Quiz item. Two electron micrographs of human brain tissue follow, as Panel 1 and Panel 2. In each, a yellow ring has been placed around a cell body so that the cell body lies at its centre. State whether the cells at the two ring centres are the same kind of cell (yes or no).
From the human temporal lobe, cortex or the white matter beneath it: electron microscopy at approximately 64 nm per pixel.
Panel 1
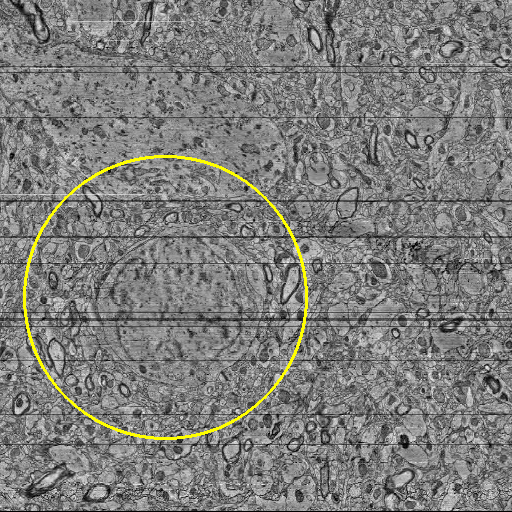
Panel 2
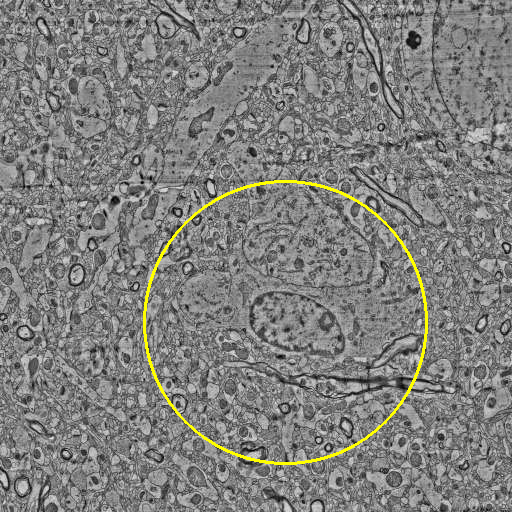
no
